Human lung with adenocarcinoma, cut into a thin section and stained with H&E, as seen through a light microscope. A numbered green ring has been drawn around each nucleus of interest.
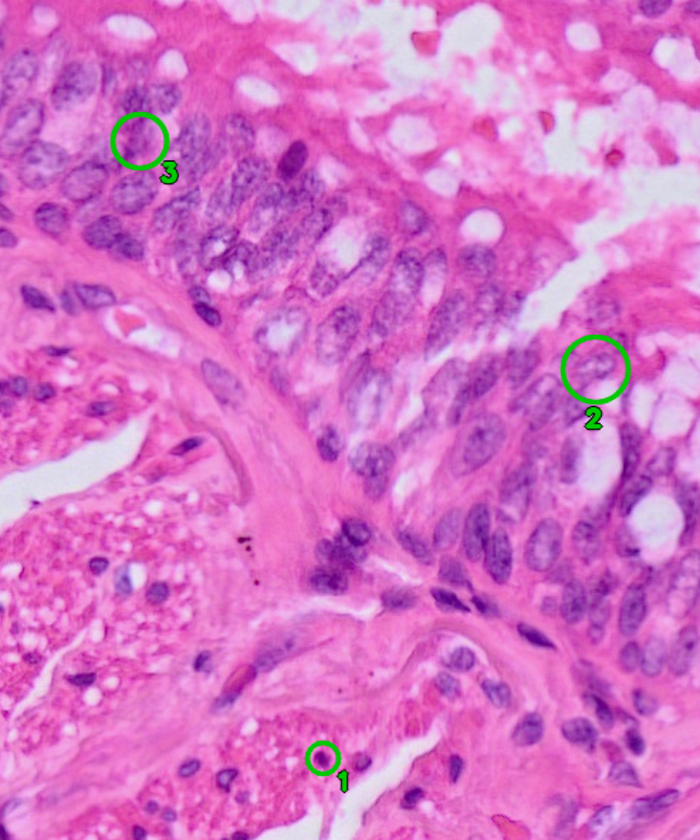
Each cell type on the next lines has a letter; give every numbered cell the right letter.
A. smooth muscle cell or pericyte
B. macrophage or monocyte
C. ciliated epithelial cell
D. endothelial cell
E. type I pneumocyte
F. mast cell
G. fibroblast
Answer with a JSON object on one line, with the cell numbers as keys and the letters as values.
{"1": "A", "2": "C", "3": "C"}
